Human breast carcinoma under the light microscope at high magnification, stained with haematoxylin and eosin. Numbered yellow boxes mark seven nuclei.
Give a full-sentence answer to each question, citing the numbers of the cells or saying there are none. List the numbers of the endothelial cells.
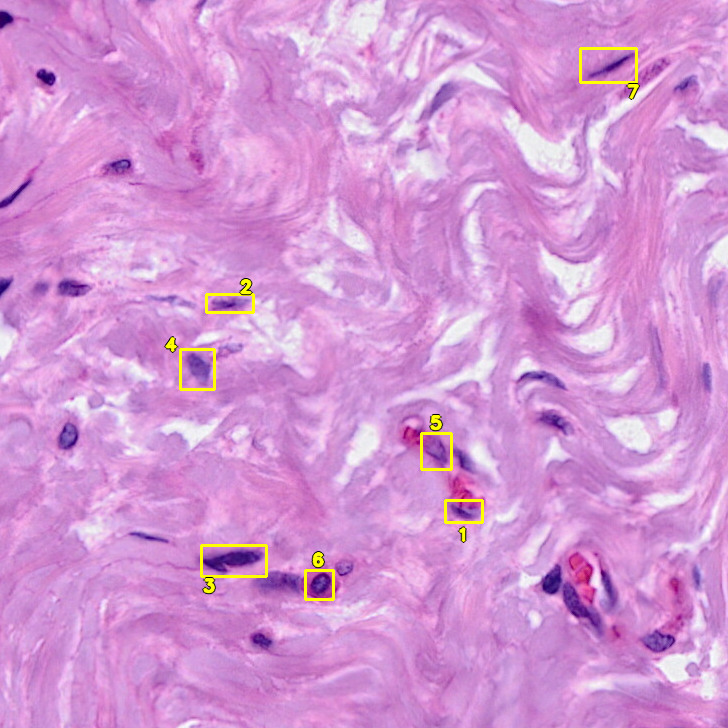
Regarding the numbered cells 1 and 5, these are endothelial cells.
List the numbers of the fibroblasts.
Cells 2, 3, 4 and 7 are recognised here as fibroblasts.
